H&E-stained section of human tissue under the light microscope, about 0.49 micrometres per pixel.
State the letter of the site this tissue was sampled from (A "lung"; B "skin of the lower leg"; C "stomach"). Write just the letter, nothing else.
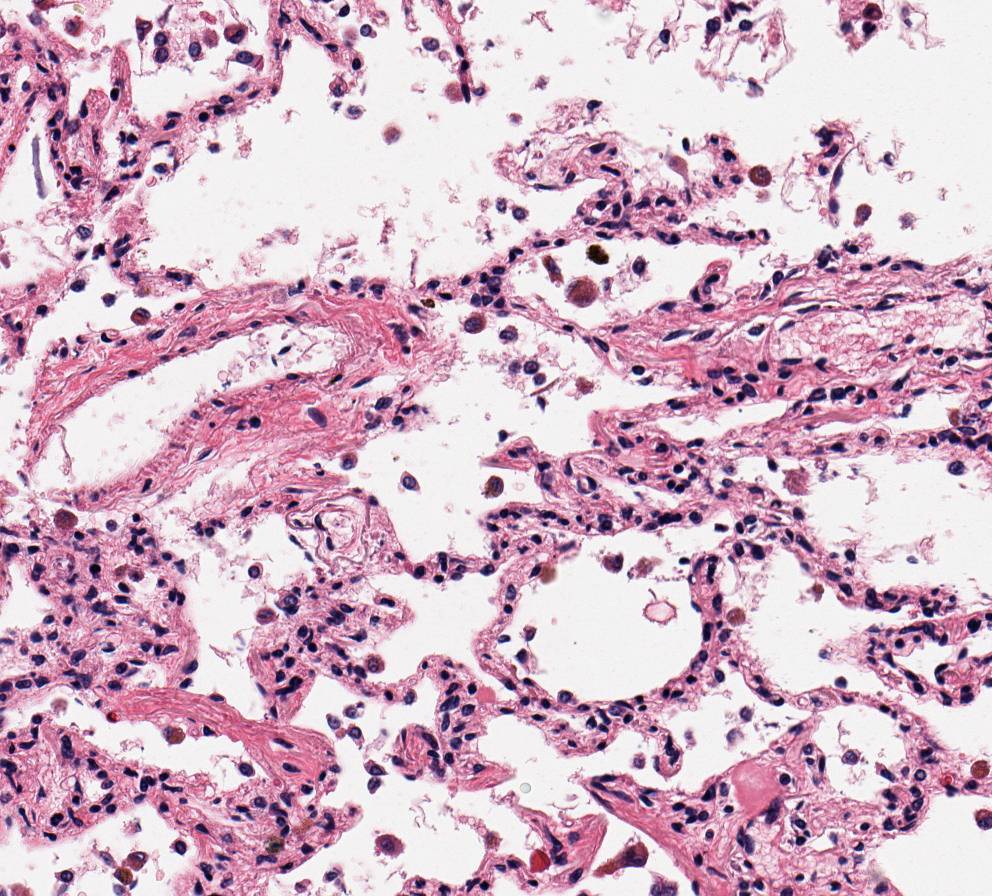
A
